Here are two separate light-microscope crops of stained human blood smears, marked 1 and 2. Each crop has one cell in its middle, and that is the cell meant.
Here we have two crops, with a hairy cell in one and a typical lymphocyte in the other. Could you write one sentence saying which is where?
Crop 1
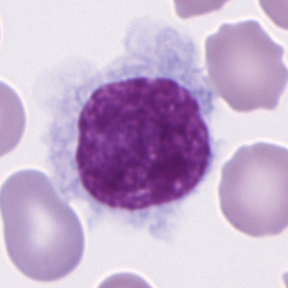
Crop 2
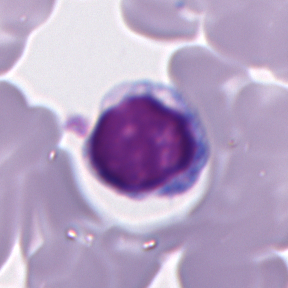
In this set, crop 1 shows a hairy cell and crop 2 shows a typical lymphocyte.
